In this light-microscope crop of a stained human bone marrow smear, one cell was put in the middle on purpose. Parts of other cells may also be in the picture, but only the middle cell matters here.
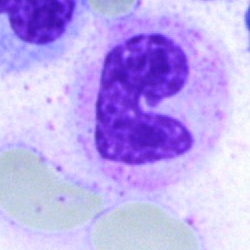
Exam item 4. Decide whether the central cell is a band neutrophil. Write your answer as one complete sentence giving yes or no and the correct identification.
Yes, shown in the middle of the crop is a band neutrophil.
